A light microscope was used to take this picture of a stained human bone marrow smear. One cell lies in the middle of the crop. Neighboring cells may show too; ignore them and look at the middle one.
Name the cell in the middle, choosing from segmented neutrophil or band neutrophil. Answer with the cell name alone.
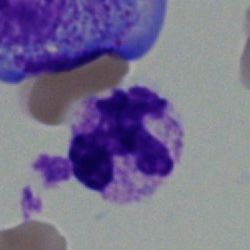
segmented neutrophil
